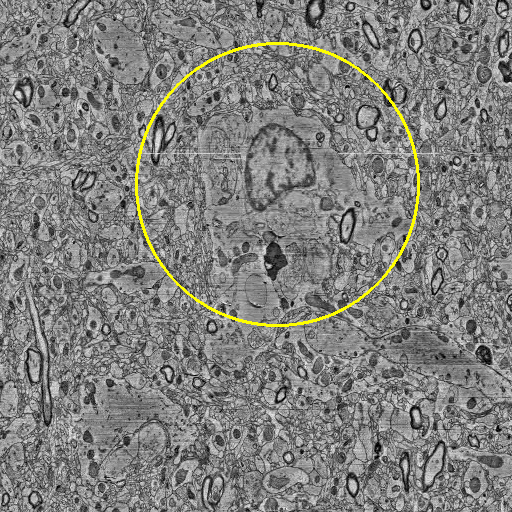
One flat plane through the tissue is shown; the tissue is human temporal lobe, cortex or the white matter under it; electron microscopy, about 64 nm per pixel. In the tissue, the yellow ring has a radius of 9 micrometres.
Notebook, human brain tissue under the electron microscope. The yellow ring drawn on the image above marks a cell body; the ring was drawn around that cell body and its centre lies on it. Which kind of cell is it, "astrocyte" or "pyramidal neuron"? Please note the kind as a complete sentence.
The marked cell body is that of an astrocyte.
